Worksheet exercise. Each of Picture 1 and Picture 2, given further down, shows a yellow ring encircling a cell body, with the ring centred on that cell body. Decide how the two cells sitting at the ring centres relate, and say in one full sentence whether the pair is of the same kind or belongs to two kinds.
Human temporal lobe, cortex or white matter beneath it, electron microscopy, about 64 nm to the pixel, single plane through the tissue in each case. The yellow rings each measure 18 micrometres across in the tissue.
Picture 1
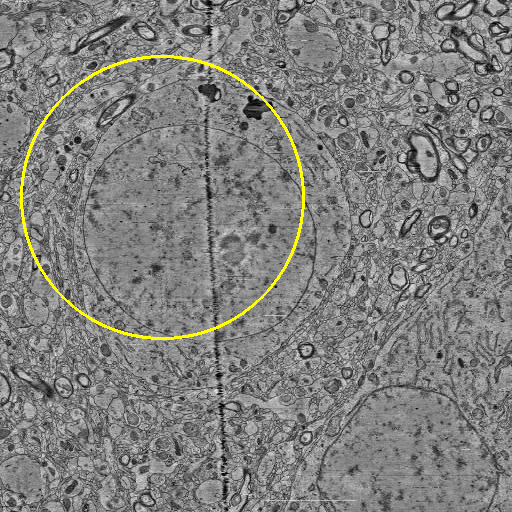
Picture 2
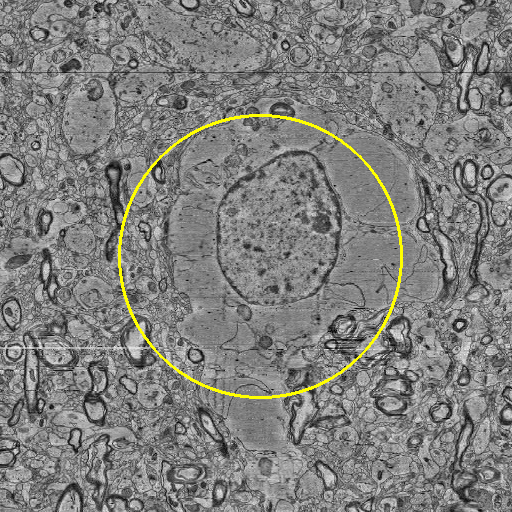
The cells at the ring centres in Picture 1 and Picture 2 belong to two kinds.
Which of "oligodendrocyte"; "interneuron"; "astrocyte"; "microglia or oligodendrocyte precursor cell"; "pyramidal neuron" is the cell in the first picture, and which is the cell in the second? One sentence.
The two differ: the first cell is a pyramidal neuron and the second is an astrocyte.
